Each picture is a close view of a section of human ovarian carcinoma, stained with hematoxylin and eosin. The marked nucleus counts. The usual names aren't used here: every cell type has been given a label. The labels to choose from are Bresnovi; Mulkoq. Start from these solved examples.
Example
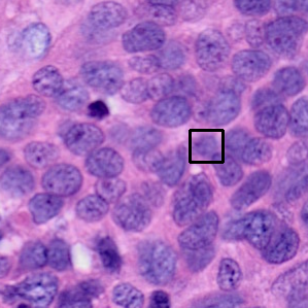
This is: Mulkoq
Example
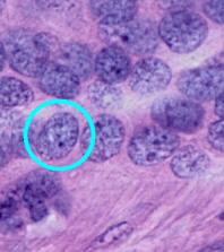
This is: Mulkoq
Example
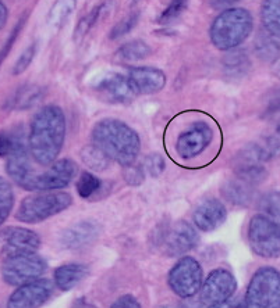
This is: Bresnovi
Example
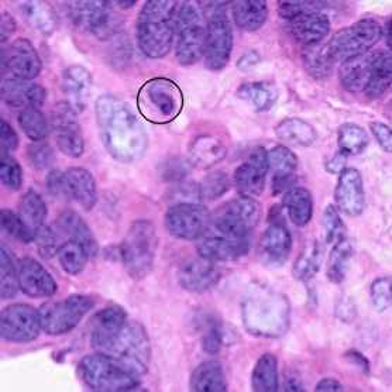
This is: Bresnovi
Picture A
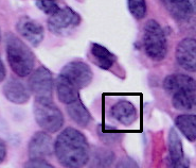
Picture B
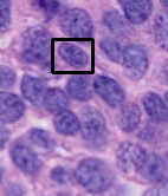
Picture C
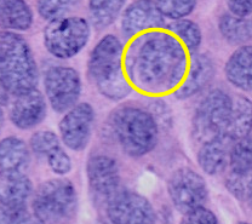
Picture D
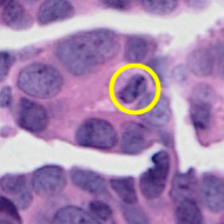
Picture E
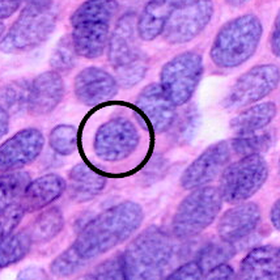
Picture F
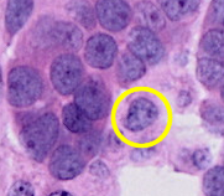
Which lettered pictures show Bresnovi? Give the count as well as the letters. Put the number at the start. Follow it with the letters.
3, namely A, D, F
